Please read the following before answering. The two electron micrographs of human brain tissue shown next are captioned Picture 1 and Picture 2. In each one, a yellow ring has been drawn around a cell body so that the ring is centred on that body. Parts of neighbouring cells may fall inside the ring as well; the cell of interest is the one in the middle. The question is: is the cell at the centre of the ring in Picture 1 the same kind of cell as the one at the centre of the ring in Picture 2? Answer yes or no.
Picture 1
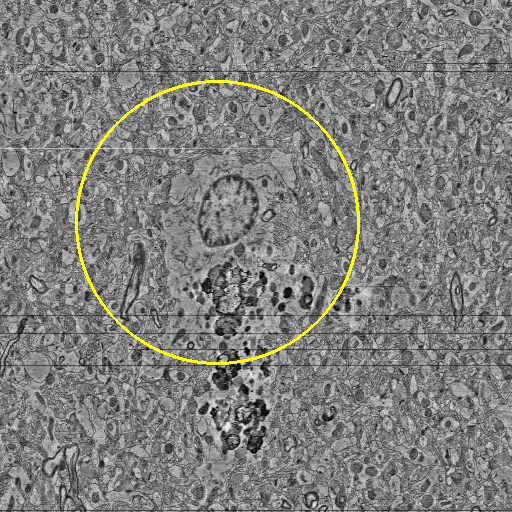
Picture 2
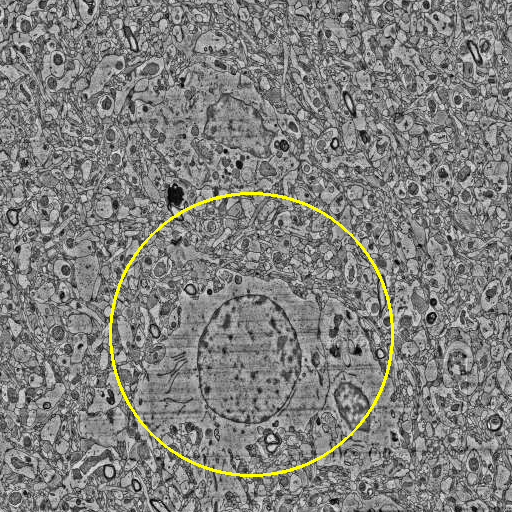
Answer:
yes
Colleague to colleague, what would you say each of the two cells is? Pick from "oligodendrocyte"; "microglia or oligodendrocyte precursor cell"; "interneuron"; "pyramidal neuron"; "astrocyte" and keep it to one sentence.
Each of the ringed cells, first and second, is an astrocyte.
